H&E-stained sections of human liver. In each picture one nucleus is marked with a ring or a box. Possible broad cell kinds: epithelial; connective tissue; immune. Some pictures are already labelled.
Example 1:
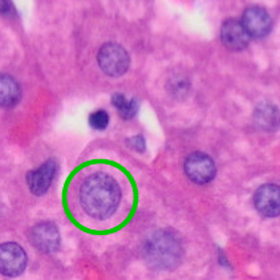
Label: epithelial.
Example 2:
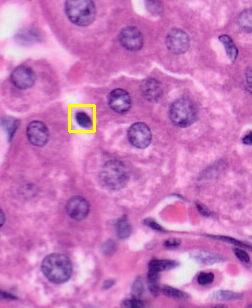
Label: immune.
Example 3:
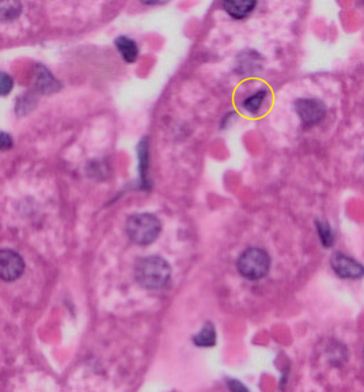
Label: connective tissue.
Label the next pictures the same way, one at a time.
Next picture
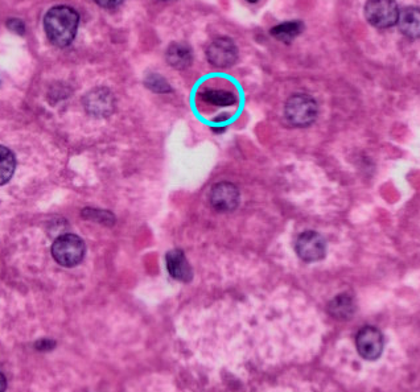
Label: connective tissue.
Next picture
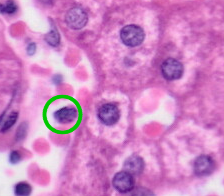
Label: immune.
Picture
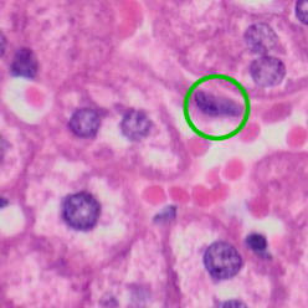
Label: immune.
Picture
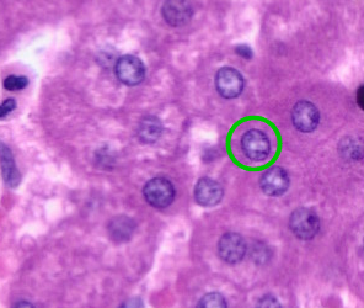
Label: epithelial.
